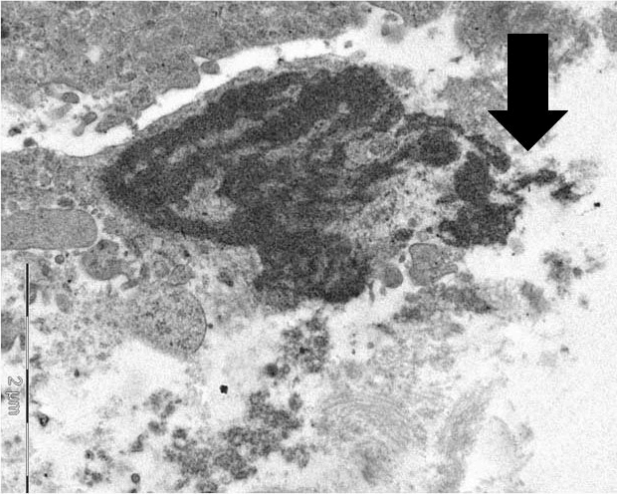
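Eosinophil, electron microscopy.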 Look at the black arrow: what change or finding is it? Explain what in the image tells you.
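A large dark granular mass of chromatin without a smooth nuclear outline. Its edge at the arrow breaks up into ragged, frayed clumps spreading into the surrounding space. So: decondensed chromatin structures with irregular borders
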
